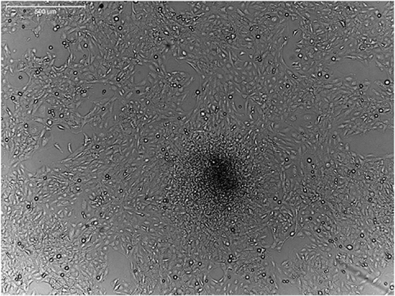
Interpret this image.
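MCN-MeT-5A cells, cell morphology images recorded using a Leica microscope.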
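This phase-contrast view shows a cultured cell layer in which a cell mound has formed. Many flattened, elongated cells cover the dish as a crowded monolayer, with scattered small round bright cells lying on top. Near the centre the cells are piled up into a dense dark heap, from which the surrounding cells seem to radiate.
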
